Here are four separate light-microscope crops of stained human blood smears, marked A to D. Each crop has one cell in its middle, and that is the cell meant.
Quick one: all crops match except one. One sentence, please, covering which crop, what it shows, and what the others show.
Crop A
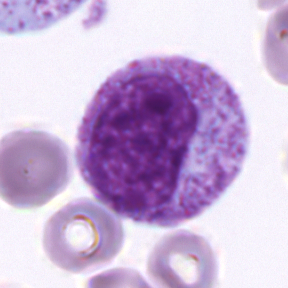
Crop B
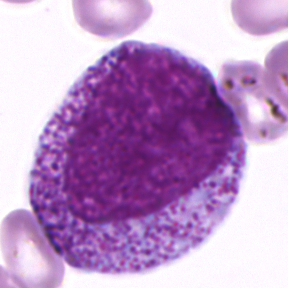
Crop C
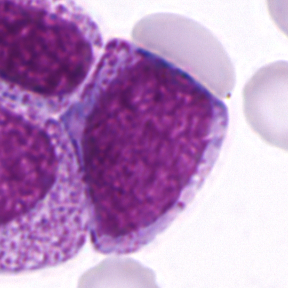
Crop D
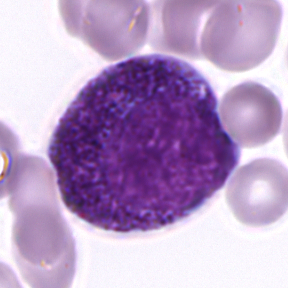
Crop A stands apart as a myelocyte, whereas the remaining crops all show promyelocytes.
